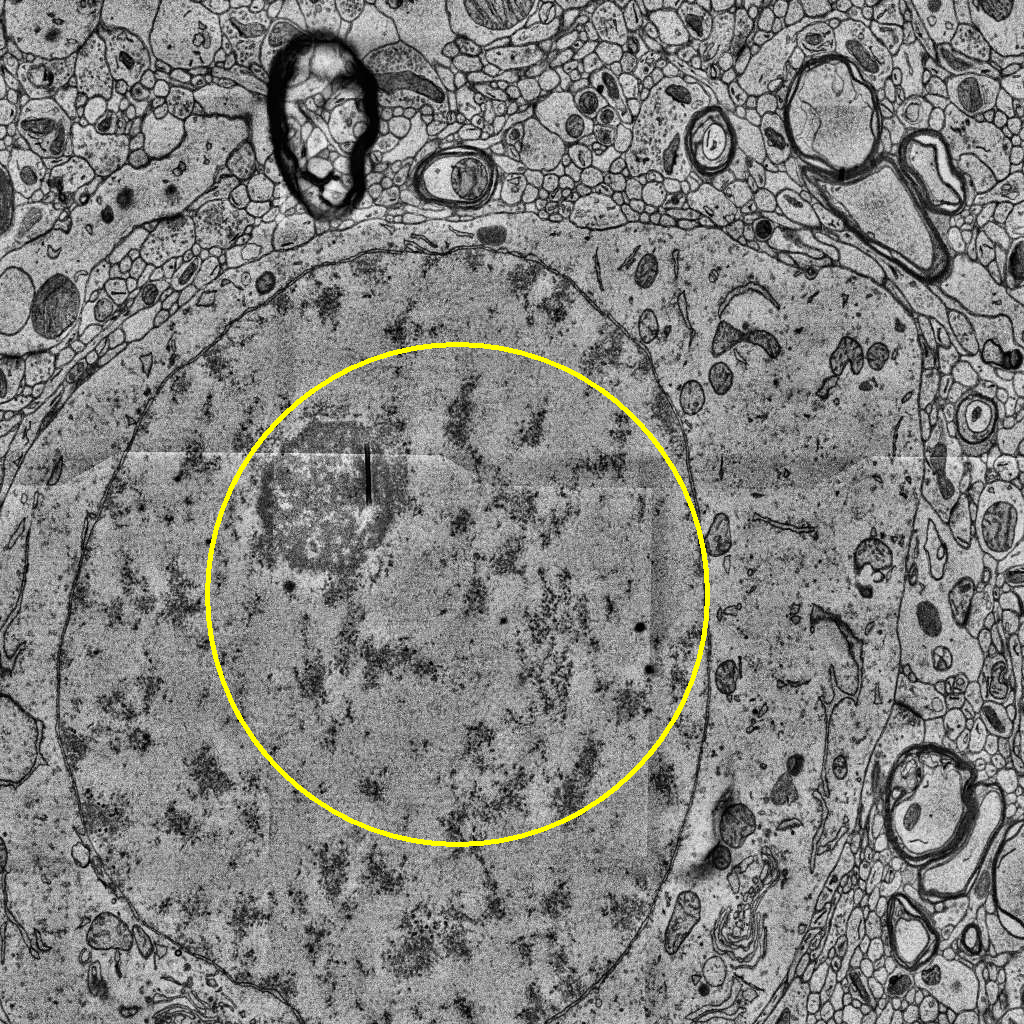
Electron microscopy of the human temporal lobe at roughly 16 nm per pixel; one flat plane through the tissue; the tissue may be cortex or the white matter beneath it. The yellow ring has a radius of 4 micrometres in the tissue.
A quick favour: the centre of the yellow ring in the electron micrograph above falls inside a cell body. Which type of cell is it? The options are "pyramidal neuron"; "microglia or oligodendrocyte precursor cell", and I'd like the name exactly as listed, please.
pyramidal neuron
